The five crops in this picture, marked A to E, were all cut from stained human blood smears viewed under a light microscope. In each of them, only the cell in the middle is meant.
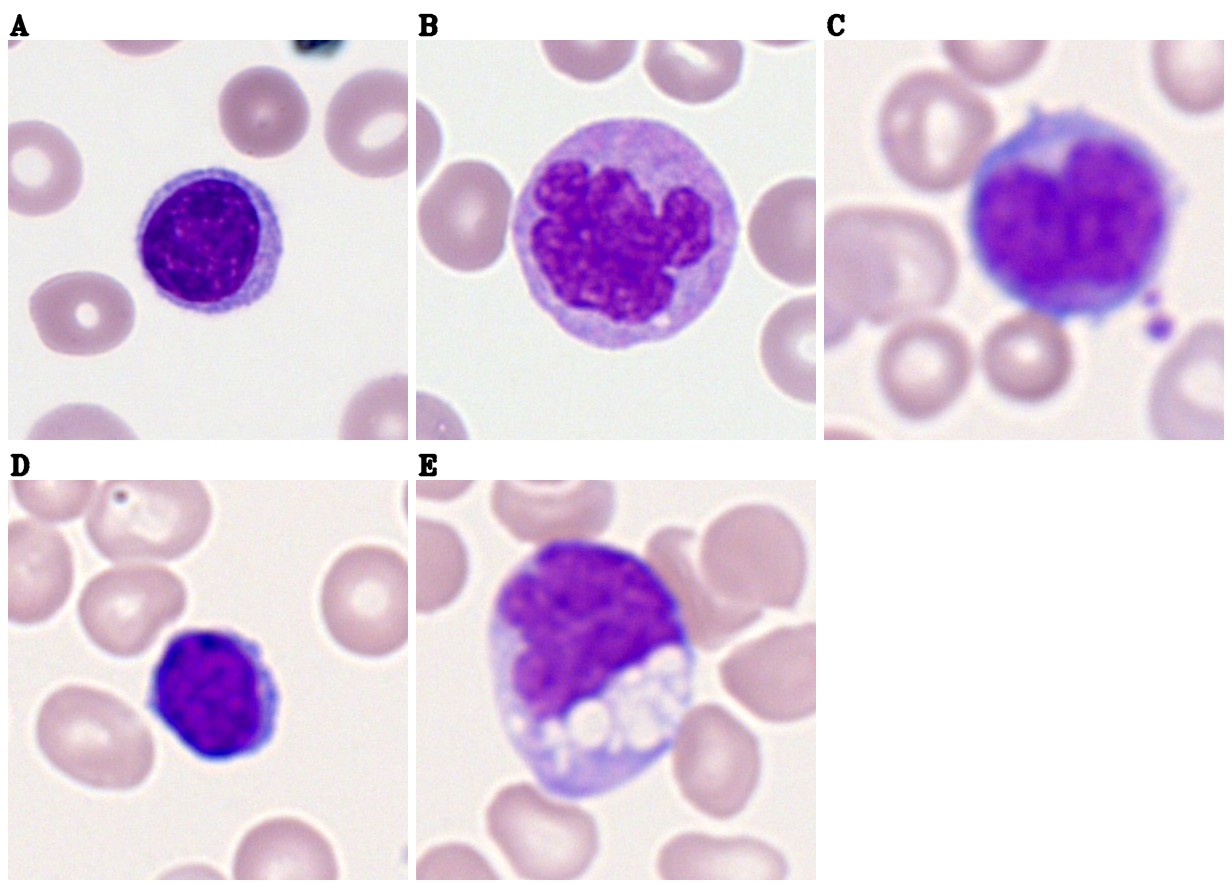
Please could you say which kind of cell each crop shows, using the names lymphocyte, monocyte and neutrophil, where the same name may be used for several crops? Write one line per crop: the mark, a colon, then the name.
A: lymphocyte
B: monocyte
C: monocyte
D: lymphocyte
E: monocyte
